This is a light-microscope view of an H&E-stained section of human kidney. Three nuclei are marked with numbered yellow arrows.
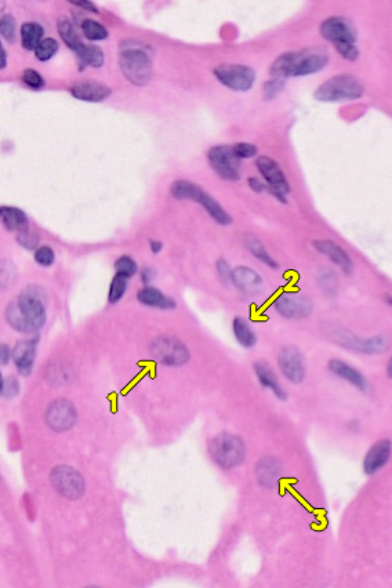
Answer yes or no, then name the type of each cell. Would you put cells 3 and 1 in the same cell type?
Yes, briefly put, cells 3 and 1 are both proximal tubule cells.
